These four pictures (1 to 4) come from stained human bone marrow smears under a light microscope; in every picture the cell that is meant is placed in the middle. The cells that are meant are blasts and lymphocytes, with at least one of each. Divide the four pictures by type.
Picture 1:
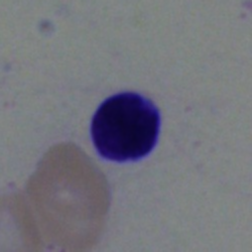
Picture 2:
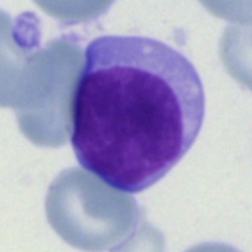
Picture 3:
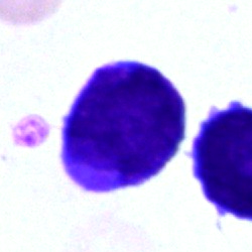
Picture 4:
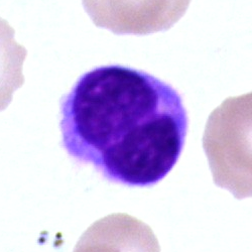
1: lymphocyte
2: lymphocyte
3: blast
4: lymphocyte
